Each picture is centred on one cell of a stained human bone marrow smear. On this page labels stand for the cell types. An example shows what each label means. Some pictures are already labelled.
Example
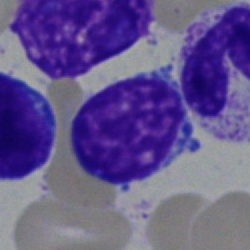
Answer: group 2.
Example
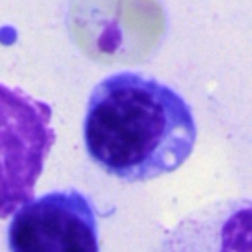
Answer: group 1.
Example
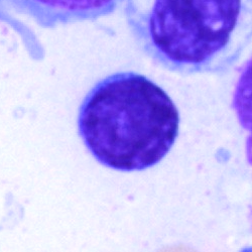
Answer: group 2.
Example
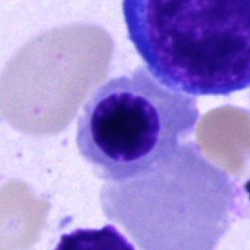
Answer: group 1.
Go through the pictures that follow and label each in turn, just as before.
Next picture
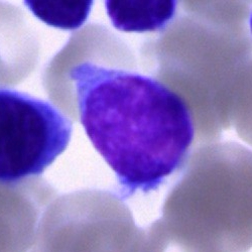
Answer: group 2.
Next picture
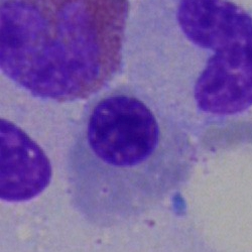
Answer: group 1.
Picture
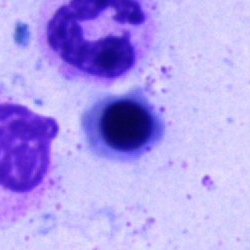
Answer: group 1.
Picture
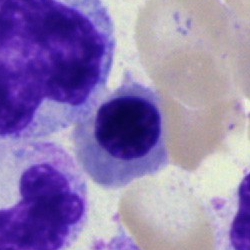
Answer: group 1.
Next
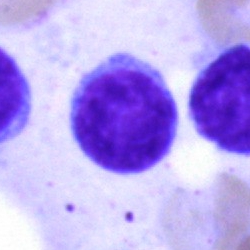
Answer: group 2.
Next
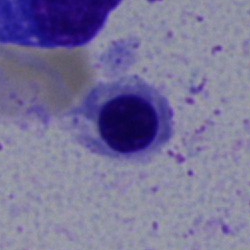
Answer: group 1.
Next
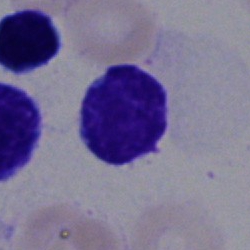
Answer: group 2.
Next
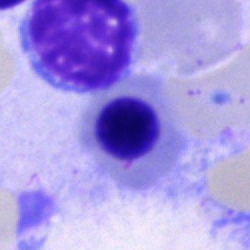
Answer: group 1.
